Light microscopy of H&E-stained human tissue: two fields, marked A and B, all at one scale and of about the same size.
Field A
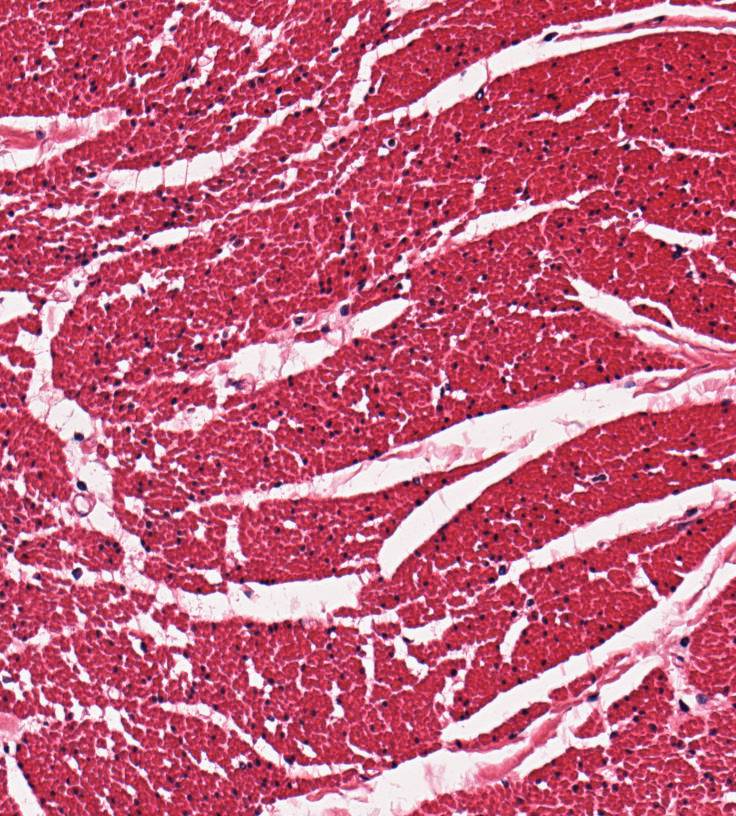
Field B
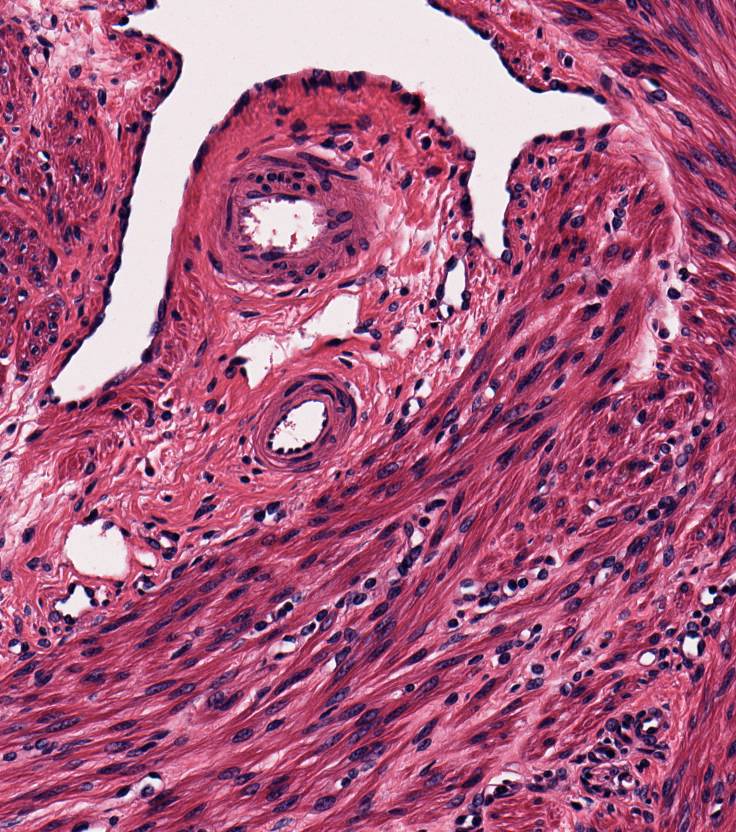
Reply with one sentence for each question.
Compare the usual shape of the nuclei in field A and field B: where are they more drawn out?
Longer, more slender nuclei lie in field B.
